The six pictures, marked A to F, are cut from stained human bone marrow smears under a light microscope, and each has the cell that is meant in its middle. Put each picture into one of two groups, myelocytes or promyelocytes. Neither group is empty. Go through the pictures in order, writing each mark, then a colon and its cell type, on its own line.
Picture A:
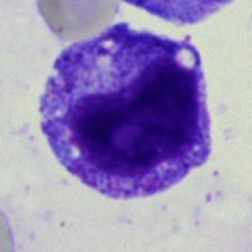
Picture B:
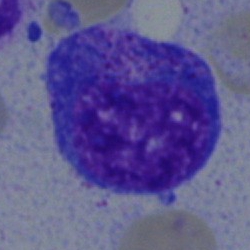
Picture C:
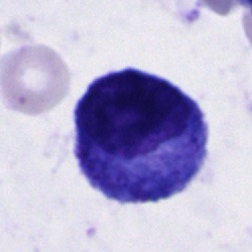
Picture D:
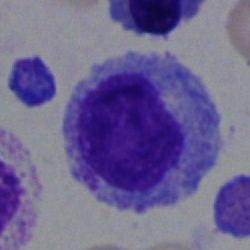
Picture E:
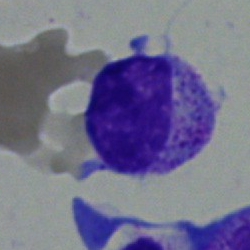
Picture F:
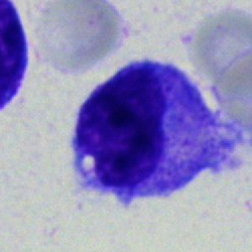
A: promyelocyte
B: promyelocyte
C: promyelocyte
D: myelocyte
E: myelocyte
F: myelocyte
